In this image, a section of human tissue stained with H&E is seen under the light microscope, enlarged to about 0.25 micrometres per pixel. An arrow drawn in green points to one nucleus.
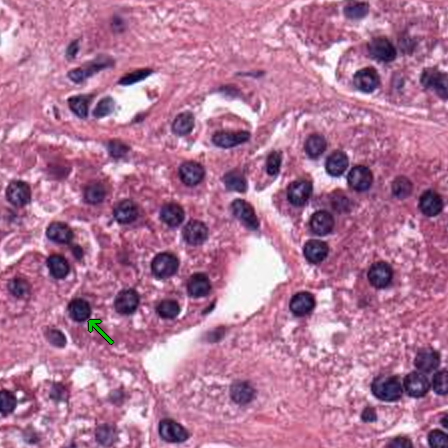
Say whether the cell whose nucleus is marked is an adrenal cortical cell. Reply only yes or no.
yes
